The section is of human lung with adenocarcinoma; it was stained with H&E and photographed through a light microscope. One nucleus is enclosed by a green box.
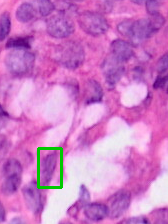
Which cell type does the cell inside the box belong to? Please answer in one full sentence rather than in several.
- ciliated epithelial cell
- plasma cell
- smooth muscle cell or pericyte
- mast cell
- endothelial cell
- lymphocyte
Within the stained tissue, the cell inside the box is a ciliated epithelial cell.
